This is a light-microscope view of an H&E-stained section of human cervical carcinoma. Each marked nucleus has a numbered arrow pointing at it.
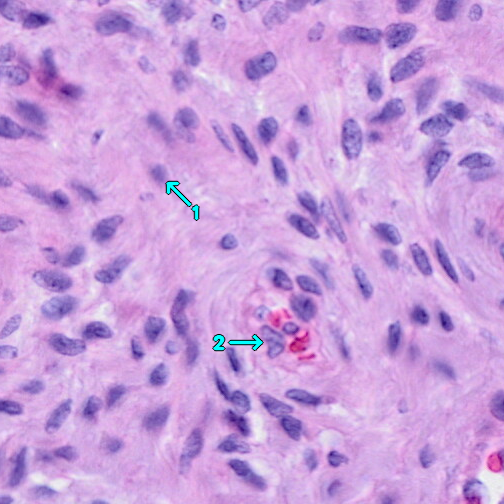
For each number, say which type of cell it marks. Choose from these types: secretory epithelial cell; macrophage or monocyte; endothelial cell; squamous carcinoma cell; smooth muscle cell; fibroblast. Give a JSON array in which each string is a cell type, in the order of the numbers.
["fibroblast", "endothelial cell"]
